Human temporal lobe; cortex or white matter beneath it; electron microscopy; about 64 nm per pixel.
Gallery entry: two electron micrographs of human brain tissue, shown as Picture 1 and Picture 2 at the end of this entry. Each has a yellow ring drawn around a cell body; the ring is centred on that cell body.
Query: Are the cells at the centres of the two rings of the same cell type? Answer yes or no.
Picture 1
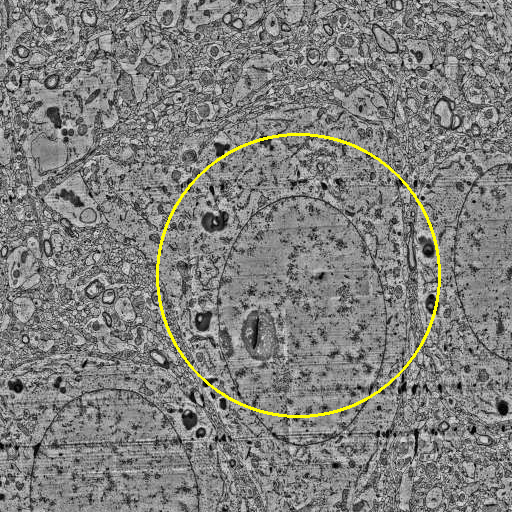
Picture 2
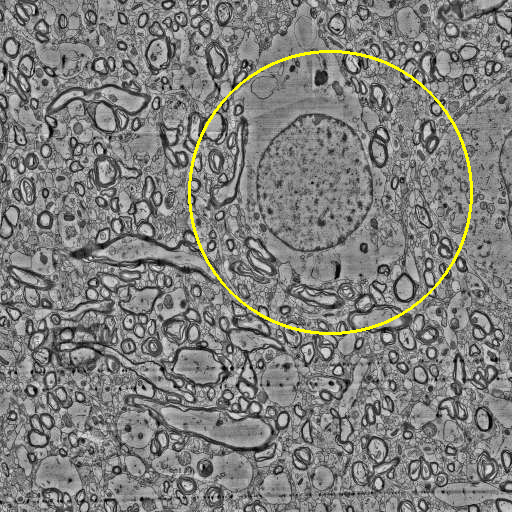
no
